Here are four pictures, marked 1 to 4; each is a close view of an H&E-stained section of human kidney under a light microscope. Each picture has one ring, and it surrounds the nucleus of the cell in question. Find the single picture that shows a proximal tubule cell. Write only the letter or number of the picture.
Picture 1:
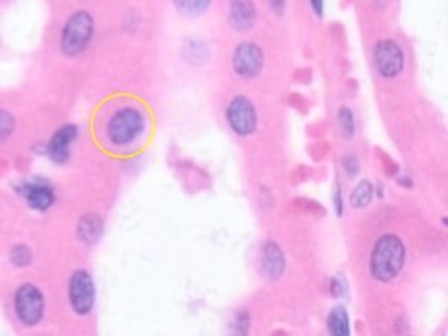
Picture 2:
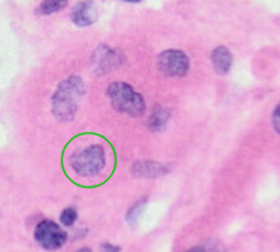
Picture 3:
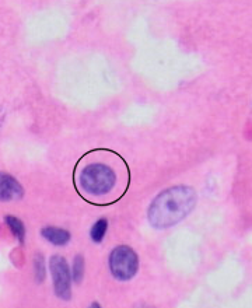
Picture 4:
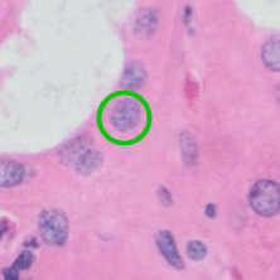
3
